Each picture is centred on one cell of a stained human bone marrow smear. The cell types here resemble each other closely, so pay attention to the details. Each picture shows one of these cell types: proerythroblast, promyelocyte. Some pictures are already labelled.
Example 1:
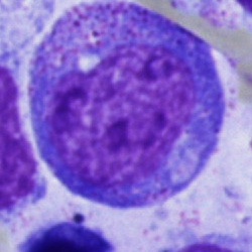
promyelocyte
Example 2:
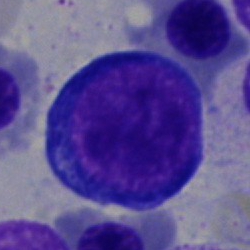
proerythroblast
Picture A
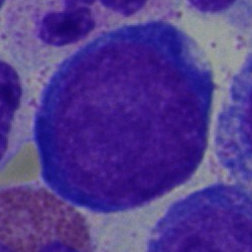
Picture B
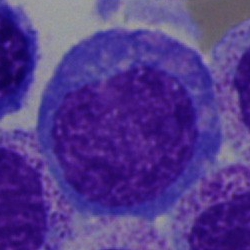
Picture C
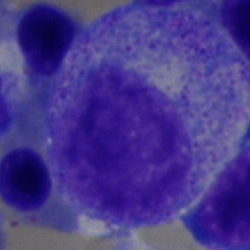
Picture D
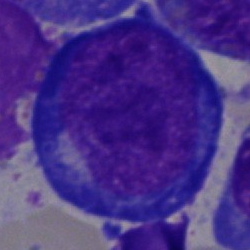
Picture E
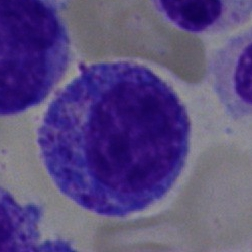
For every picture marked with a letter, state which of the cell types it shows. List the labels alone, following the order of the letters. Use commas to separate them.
proerythroblast, promyelocyte, promyelocyte, proerythroblast, promyelocyte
